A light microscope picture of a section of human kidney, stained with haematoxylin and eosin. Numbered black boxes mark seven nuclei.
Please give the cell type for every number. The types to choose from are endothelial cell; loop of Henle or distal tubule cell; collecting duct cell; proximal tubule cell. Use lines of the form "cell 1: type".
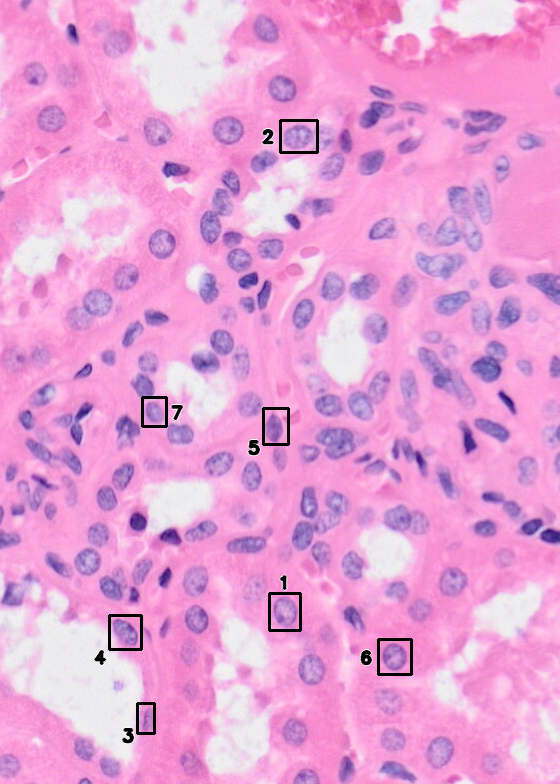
cell 1: proximal tubule cell
cell 2: collecting duct cell
cell 3: loop of Henle or distal tubule cell
cell 4: loop of Henle or distal tubule cell
cell 5: endothelial cell
cell 6: proximal tubule cell
cell 7: collecting duct cell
